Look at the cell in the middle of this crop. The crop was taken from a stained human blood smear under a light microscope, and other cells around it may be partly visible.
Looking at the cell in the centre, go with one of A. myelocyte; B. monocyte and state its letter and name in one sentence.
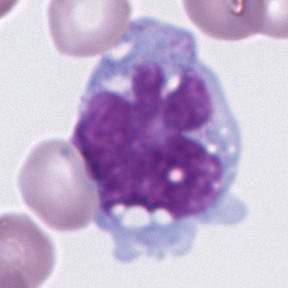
The correct identification, given in option B, is that the central cell is a monocyte.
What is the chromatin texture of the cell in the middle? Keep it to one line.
The chromatin pattern is fine and free of coarse clumps.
